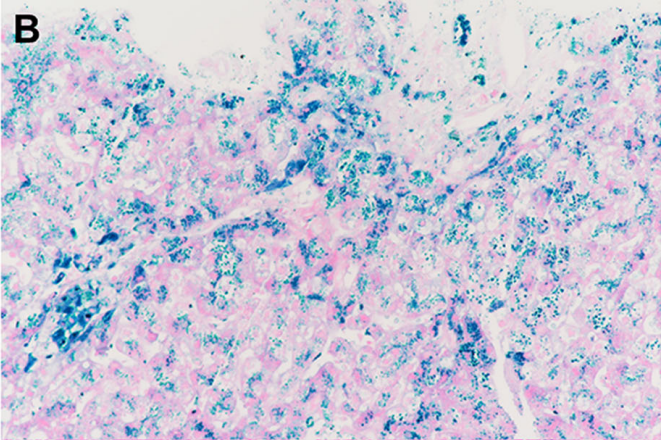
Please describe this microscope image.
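The blue material lies as fine and coarse granules within the hepatocyte cytoplasm, distributed over most of the field. In places the granules merge into dense dark blue aggregates. Thin pale sinusoidal spaces run between the cell cords. Nuclei are pale and difficult to make out beneath the pigment.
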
